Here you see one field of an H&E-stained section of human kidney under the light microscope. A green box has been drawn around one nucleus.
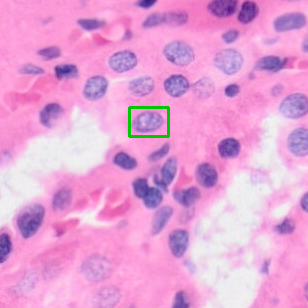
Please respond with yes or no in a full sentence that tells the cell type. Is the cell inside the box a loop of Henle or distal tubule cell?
Yes, a loop of Henle or distal tubule cell is what the cell inside the box represents in this tissue.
